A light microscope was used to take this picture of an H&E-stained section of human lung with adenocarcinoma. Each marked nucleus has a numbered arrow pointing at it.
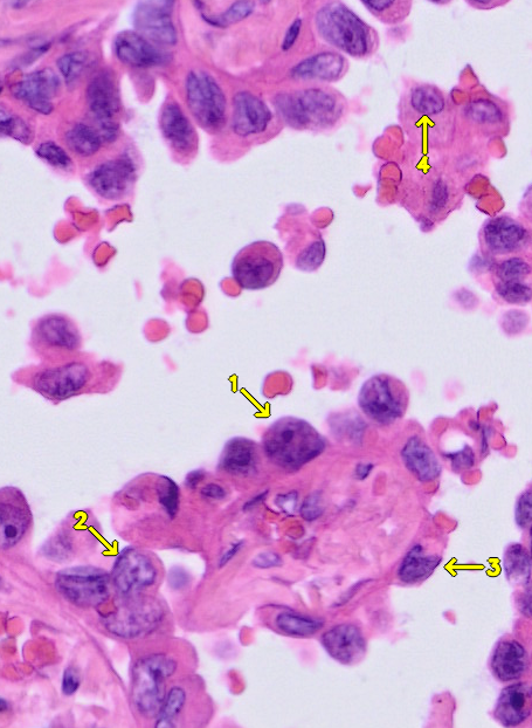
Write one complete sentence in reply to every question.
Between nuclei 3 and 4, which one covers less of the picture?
With nucleus 3 about 1.5 times its size, nucleus 4 is the smaller of the two.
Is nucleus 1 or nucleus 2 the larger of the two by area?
Nucleus 1 covers more area, about 1.5 times as much as nucleus 2.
